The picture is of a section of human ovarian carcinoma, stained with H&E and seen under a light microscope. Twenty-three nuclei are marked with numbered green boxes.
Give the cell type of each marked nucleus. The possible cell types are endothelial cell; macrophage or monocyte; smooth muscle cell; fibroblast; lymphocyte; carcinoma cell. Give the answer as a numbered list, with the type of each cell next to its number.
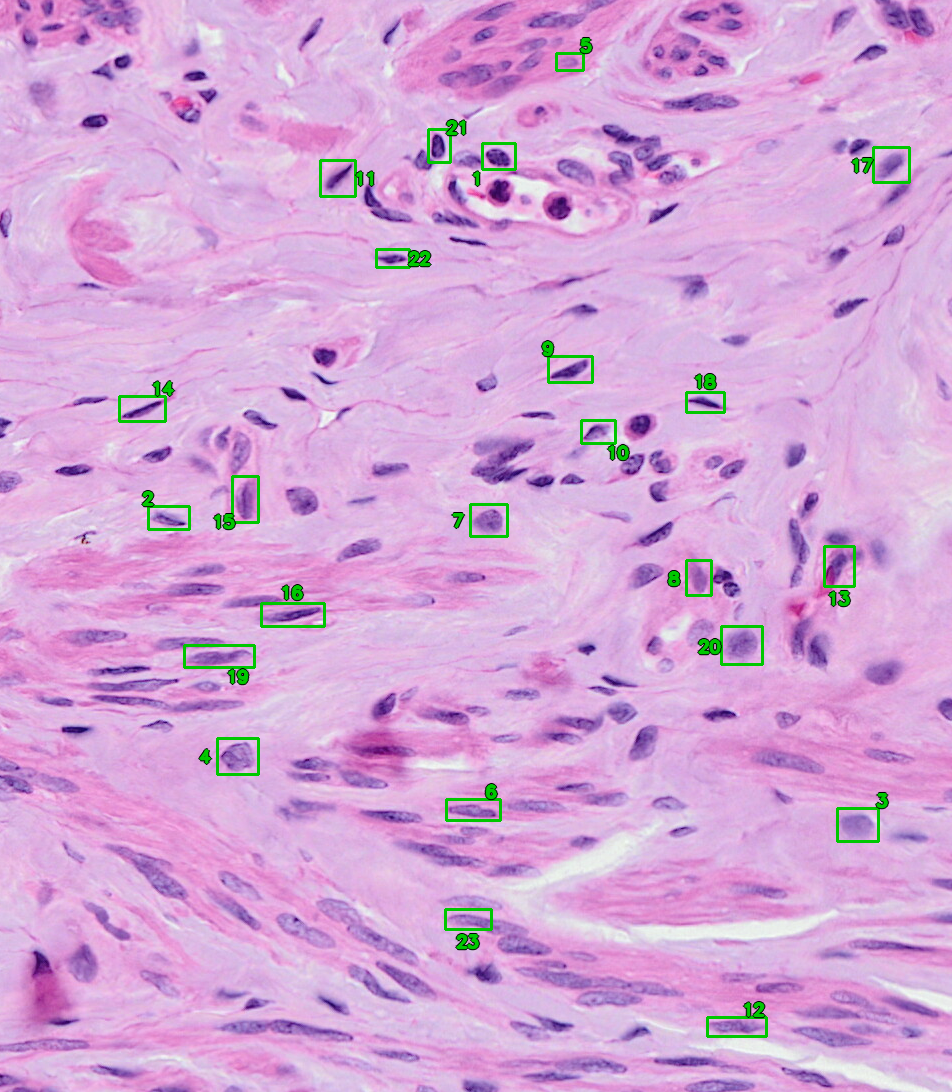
1. lymphocyte
2. fibroblast
3. fibroblast
4. fibroblast
5. smooth muscle cell
6. smooth muscle cell
7. fibroblast
8. endothelial cell
9. fibroblast
10. fibroblast
11. fibroblast
12. smooth muscle cell
13. endothelial cell
14. fibroblast
15. endothelial cell
16. smooth muscle cell
17. fibroblast
18. fibroblast
19. smooth muscle cell
20. fibroblast
21. lymphocyte
22. fibroblast
23. smooth muscle cell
